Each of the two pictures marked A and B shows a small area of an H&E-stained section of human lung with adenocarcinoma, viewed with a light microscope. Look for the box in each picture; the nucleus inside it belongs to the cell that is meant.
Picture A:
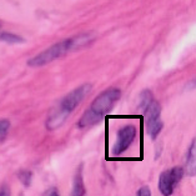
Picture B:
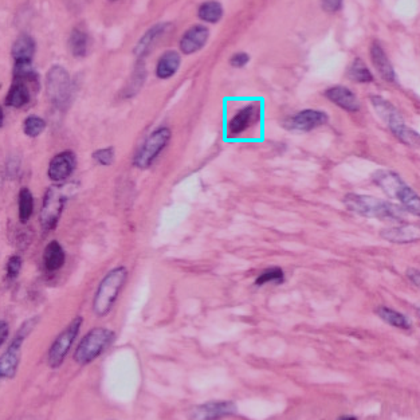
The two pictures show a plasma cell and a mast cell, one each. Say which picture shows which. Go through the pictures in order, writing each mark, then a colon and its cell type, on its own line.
A: mast cell
B: plasma cell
